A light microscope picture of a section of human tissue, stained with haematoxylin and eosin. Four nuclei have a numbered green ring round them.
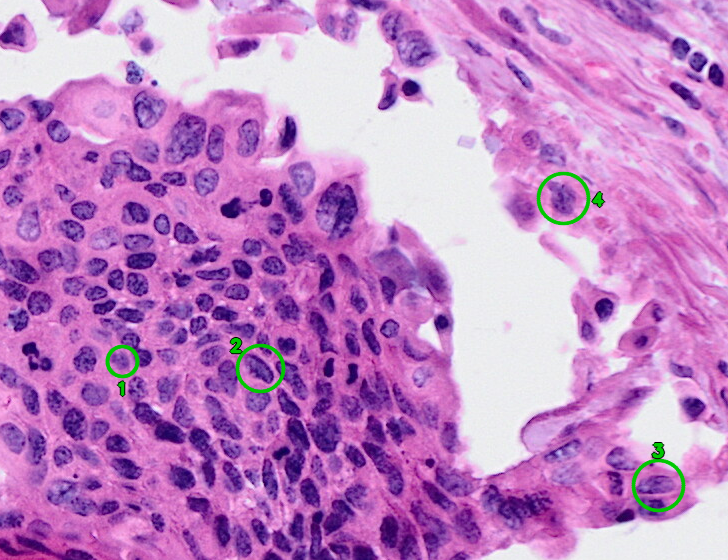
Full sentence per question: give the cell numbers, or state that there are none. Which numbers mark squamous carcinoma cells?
The cells numbered 1, 2 and 3 are of the kind known as squamous carcinoma cells.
